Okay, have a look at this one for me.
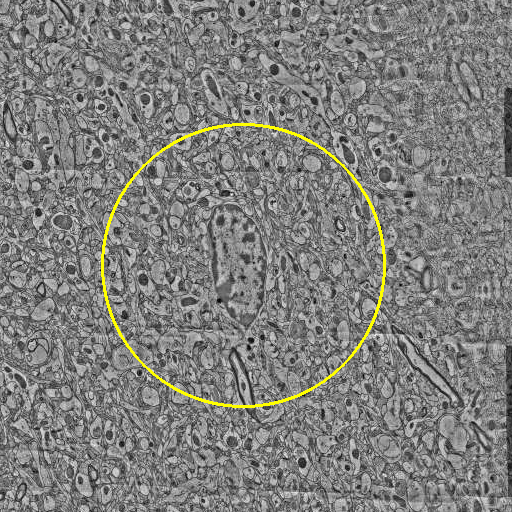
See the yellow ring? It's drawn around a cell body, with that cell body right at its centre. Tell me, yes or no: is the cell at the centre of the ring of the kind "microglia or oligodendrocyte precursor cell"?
Yes, it is of that kind.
